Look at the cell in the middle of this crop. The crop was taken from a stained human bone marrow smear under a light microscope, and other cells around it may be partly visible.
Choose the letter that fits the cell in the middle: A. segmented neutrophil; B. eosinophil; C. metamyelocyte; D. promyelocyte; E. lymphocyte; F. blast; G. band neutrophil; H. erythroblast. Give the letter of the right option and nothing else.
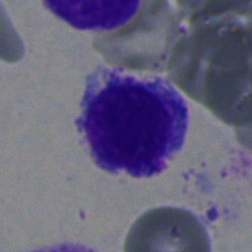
E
